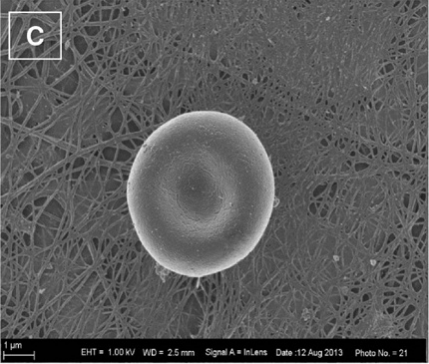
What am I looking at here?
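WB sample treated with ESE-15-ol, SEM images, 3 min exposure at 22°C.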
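A single erythrocyte rests on a dense mesh of fine, randomly crossing fibres. The cell is a round disc with a raised rim and a central depression, giving the usual biconcave profile. Its surface is smooth and its edge even, without projections. The fibres run beneath and beside the cell.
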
